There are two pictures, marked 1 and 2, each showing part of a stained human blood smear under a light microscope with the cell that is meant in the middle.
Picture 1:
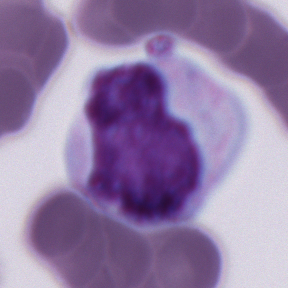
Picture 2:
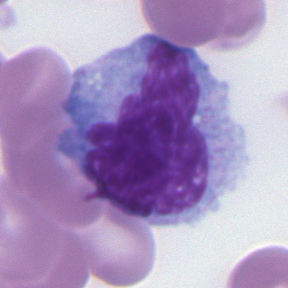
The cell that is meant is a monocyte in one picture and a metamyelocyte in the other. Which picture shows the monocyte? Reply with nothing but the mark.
2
